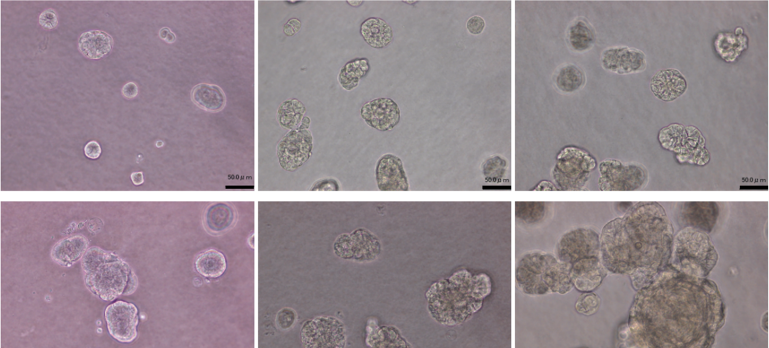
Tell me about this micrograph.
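The smallest spheres are compact and round with a bright, refractile rim, while larger ones are made of many tightly packed cells whose outlines give the surface a bumpy, cobbled texture. Across the frames the spheres grow larger, and several become lobulated or irregular rather than neatly round. In the lower row the spheres are on the whole bigger and more irregular, with some very large, bulging masses that seem to have fused or budded.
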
